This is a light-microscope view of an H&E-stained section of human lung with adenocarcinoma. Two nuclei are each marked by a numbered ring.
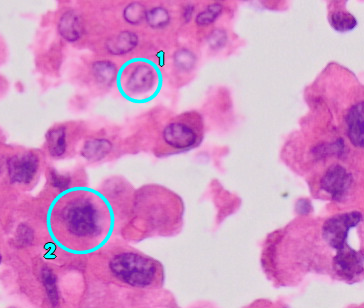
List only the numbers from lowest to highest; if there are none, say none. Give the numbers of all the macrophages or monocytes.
1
